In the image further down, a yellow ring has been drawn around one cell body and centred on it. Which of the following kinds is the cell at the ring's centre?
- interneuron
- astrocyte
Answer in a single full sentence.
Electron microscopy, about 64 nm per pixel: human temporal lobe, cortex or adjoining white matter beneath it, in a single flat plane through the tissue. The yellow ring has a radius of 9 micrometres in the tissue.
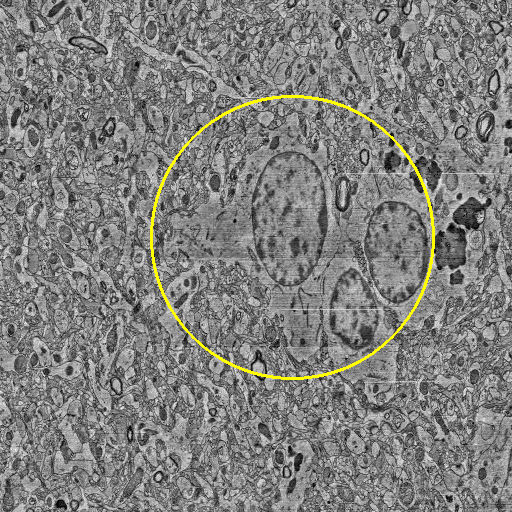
In the picture, the cell sitting at the centre of the yellow ring is an astrocyte.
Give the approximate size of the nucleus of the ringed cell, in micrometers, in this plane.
About 9 by 5 micrometers; the nucleus is clearly longer than it is wide in this plane.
